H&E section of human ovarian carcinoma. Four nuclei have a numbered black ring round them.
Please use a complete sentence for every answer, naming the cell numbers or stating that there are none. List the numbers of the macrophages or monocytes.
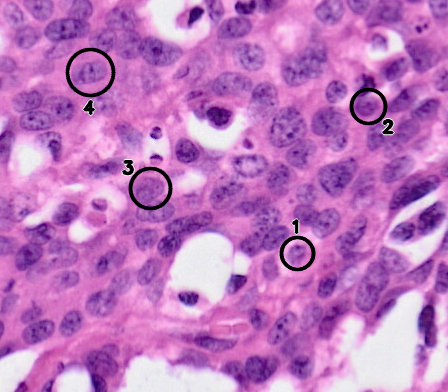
Only at number 1 is there a macrophage or monocyte among the marked cells.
